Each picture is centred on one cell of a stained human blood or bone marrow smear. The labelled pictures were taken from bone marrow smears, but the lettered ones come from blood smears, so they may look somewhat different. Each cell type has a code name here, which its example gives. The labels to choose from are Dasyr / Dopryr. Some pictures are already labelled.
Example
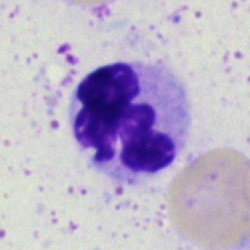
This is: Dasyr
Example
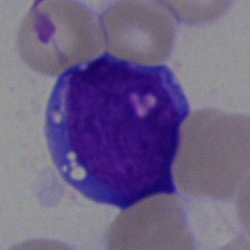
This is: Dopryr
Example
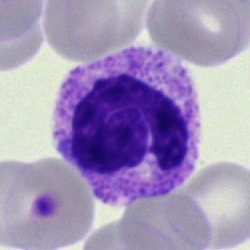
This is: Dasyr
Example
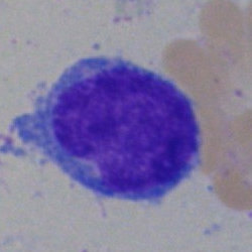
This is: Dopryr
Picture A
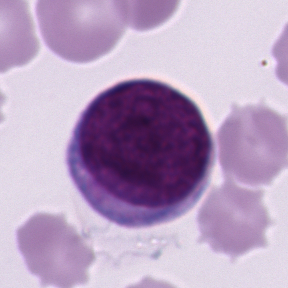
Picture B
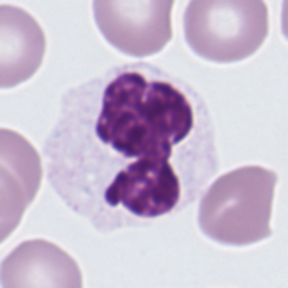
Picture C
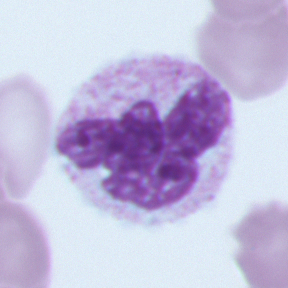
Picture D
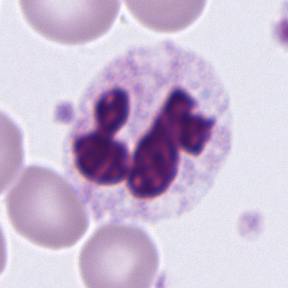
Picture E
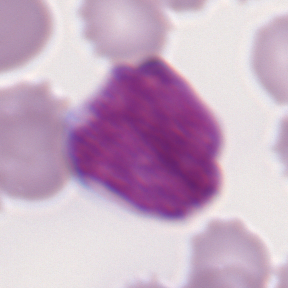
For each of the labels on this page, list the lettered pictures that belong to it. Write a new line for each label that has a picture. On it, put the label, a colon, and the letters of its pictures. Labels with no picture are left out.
Dasyr: B, C, D
Dopryr: A, E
